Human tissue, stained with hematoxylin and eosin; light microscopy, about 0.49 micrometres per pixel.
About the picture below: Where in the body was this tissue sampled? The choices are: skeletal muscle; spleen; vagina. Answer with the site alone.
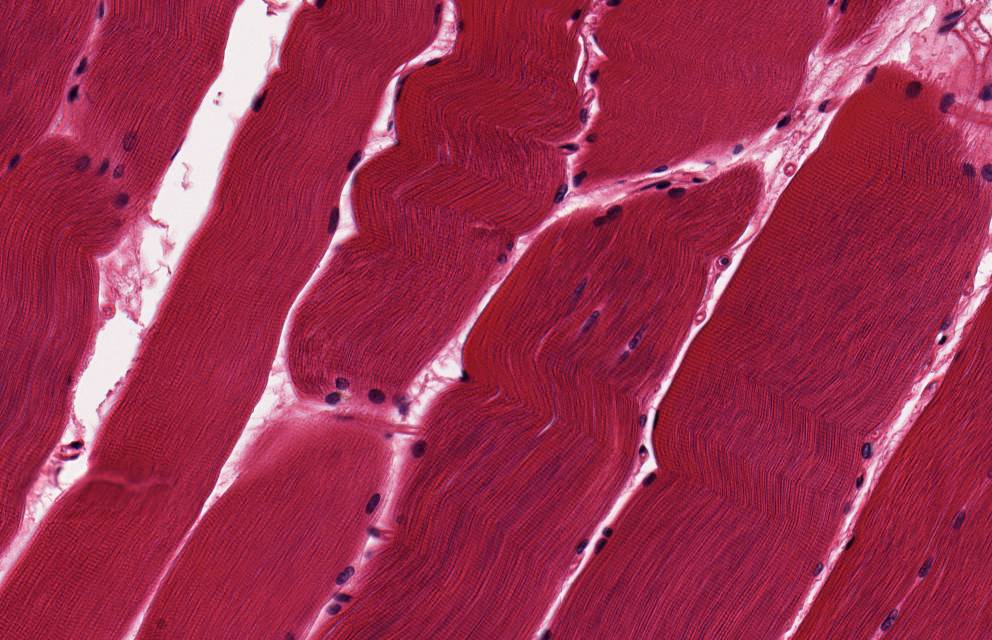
skeletal muscle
